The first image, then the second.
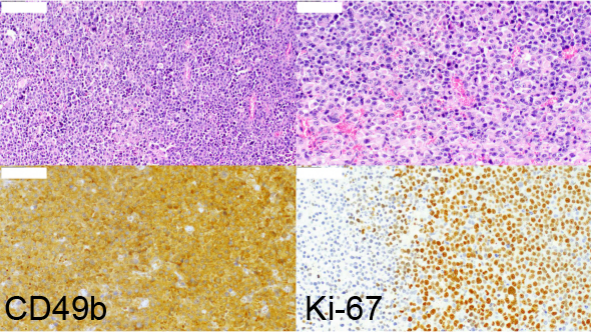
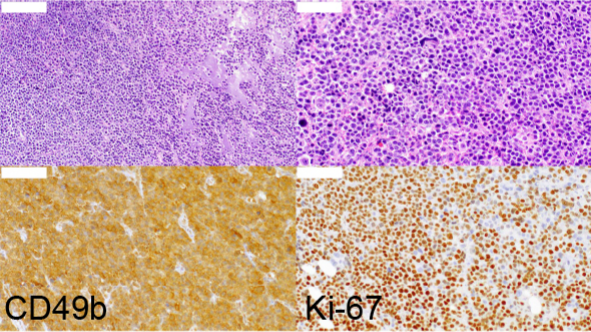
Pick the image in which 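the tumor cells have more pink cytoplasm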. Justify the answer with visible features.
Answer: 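First image: in the high-power pink-and-purple section the tumor cells show visible pink cytoplasm around their nuclei. Second image: in the high-power pink-and-purple section the tumor cells are crowded dark purple nuclei with scant cytoplasm. On this evidence: the first image.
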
